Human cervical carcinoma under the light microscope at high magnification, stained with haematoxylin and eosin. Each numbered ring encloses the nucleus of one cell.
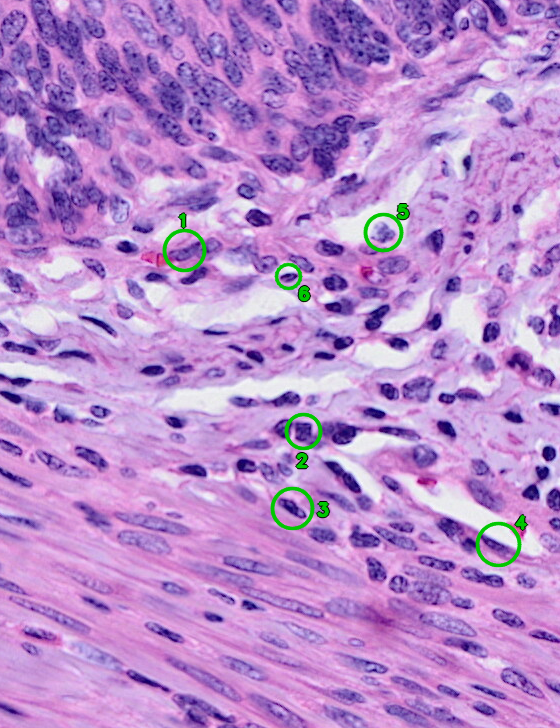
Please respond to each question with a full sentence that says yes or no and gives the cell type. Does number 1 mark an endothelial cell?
Yes, the cell whose number is 1 is an endothelial cell.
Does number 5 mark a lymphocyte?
Yes, the cell carrying label 5 is a lymphocyte.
